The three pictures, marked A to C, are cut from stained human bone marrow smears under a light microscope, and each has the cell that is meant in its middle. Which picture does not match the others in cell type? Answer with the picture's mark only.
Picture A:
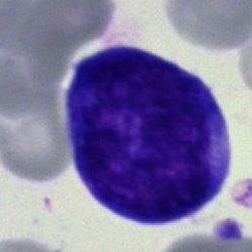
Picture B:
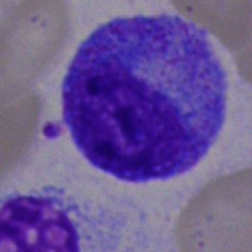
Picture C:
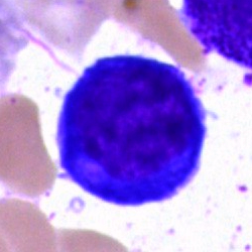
B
